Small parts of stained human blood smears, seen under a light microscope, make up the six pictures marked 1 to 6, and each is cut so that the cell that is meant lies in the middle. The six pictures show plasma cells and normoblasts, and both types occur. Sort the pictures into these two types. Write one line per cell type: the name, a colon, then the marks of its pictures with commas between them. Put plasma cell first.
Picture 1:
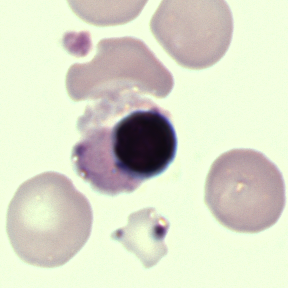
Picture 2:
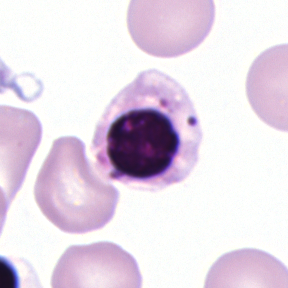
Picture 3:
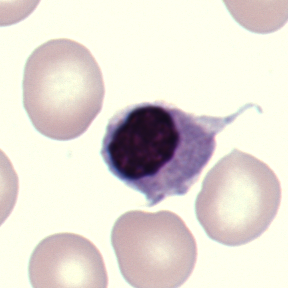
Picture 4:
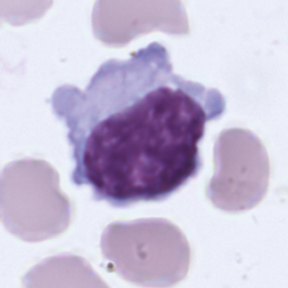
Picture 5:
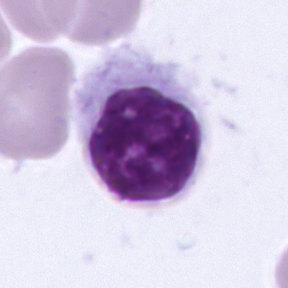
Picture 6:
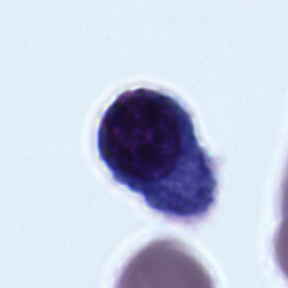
plasma cell: 4, 5, 6
normoblast: 1, 2, 3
